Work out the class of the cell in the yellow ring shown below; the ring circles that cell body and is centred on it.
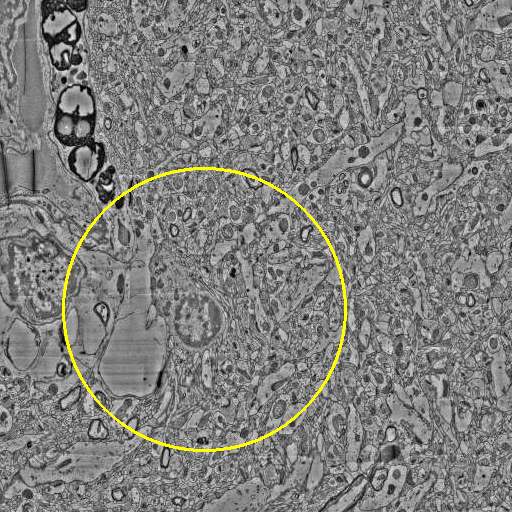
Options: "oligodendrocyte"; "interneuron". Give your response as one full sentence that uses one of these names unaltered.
The body ringed in yellow, right at the ring's centre, is that of an oligodendrocyte.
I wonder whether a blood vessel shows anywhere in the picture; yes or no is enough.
Yes, there is a blood vessel.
